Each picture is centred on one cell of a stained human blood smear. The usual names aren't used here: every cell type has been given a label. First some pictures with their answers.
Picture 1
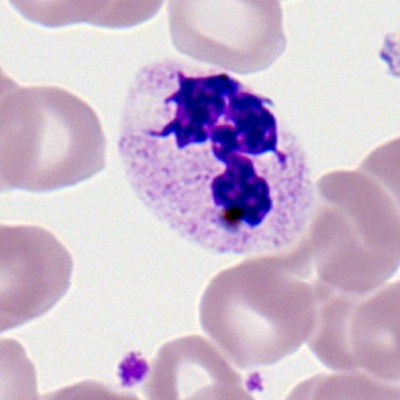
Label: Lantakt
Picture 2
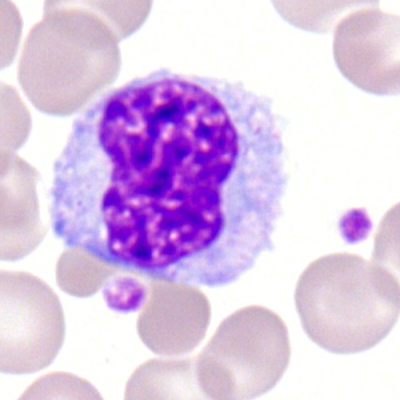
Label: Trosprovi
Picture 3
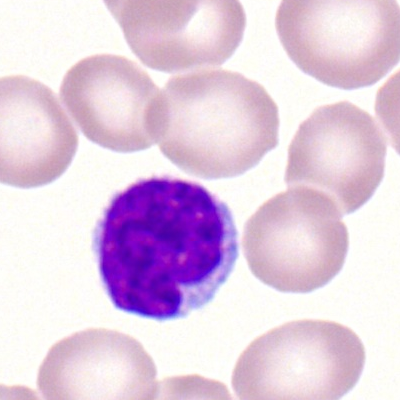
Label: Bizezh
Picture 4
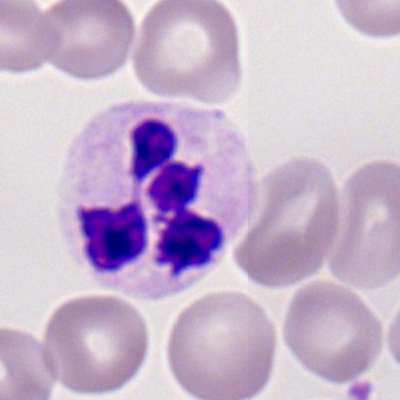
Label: Lantakt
